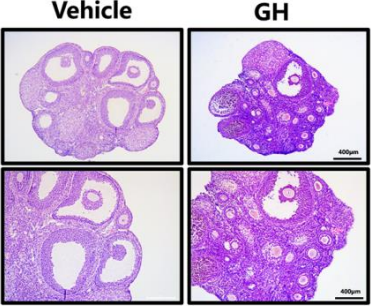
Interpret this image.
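The organ is filled with follicles: rounded clusters of small, darkly staining cells that surround a single oocyte. In the left images a few large follicles dominate, each with a wide, pale, fluid-filled cavity lined by several layers of small purple cells, with a pink stroma between them. In the right images the section is crowded with many more follicles of varied size, from small ones with a single oocyte to larger ones with a cavity, packed closely in a denser purple stroma.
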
